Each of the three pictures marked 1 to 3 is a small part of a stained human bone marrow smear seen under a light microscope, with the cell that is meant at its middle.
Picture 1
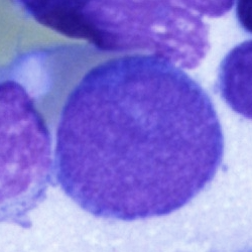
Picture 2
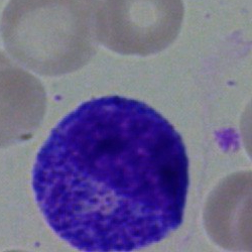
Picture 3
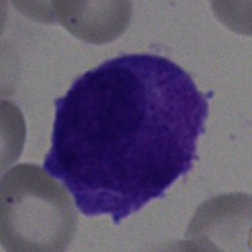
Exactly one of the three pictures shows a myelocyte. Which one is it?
2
